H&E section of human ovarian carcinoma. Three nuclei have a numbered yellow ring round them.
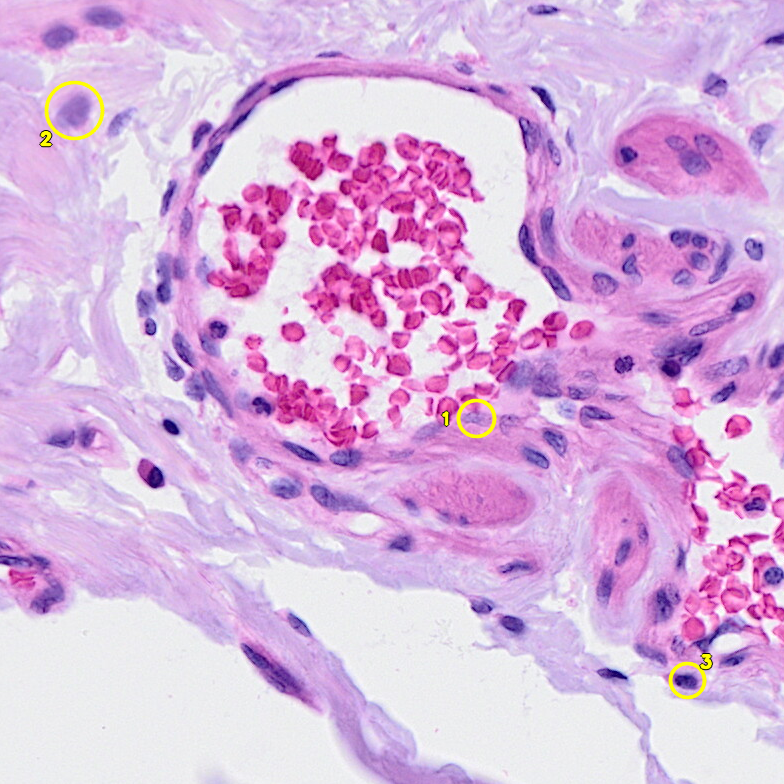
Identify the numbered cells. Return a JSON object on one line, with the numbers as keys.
{"1": "endothelial cell", "2": "fibroblast", "3": "lymphocyte"}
